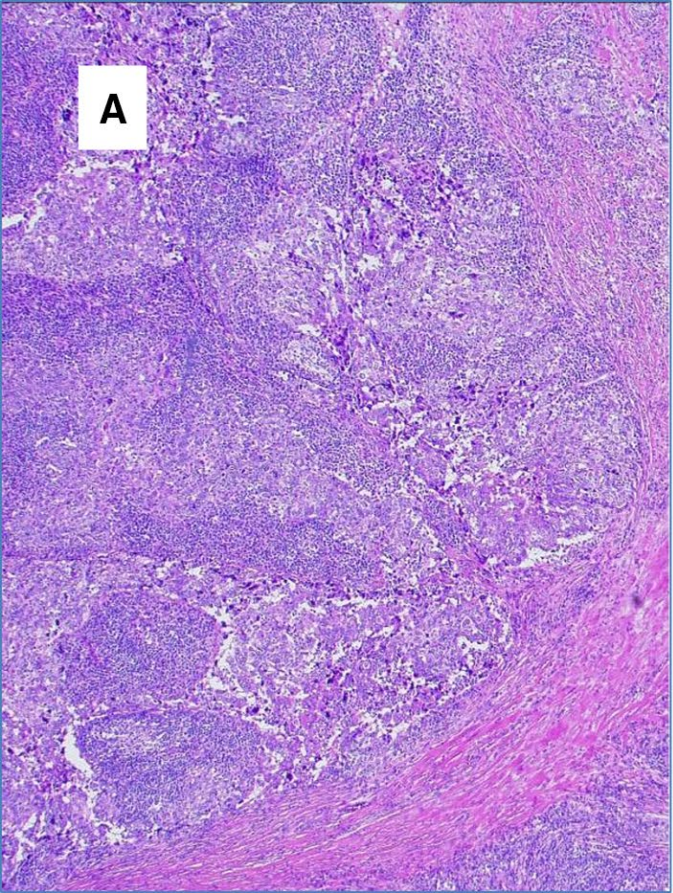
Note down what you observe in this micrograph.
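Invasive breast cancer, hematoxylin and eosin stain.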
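Carcinoma with dense lymphoid stroma: nests and broad sheets of large tumor cells with pale pink cytoplasm and larger, paler nuclei lie among dense collections of small lymphocytes with dark, round nuclei. The lymphocytes form dark purple bands and patches that separate and surround the tumor cell groups, so the field has a mottled pattern of pale and dark areas. Some tumor groups are loosened, with clefts and scattered darker cells. Toward one edge, pink spindle-shaped fibrous tissue runs in curved parallel bands, forming a border around the lesion.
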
